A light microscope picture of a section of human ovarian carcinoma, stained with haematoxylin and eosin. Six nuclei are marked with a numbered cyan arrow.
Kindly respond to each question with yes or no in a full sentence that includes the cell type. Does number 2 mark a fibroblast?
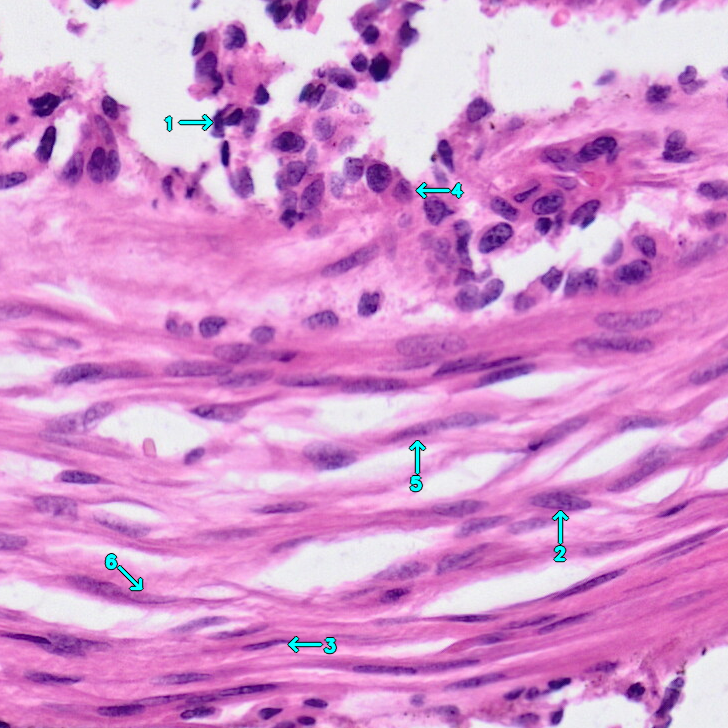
Yes, cell number 2 is identified here as a fibroblast.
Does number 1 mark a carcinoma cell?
Yes, the cell to which number 1 refers is a carcinoma cell.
